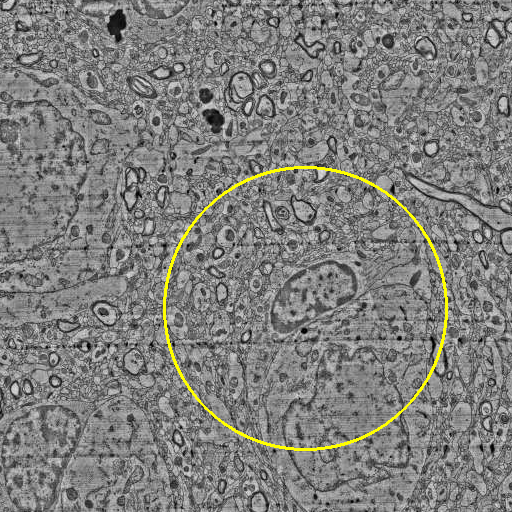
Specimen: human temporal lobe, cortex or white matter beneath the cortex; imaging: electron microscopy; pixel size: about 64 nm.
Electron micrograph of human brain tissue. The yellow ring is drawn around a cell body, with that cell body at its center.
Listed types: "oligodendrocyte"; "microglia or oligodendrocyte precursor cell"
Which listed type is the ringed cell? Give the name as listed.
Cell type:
microglia or oligodendrocyte precursor cell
